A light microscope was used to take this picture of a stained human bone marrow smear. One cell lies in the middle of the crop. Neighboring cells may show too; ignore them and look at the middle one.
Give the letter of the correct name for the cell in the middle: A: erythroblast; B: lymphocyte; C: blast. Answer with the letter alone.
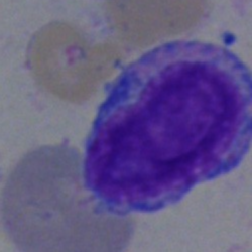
C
